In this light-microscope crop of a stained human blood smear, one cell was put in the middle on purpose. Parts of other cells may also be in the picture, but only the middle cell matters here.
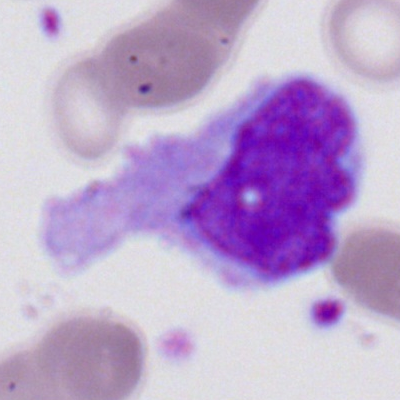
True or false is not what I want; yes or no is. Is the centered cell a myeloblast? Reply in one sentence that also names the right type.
No, it is a monocyte, not a myeloblast, that lies at the centre of the crop.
